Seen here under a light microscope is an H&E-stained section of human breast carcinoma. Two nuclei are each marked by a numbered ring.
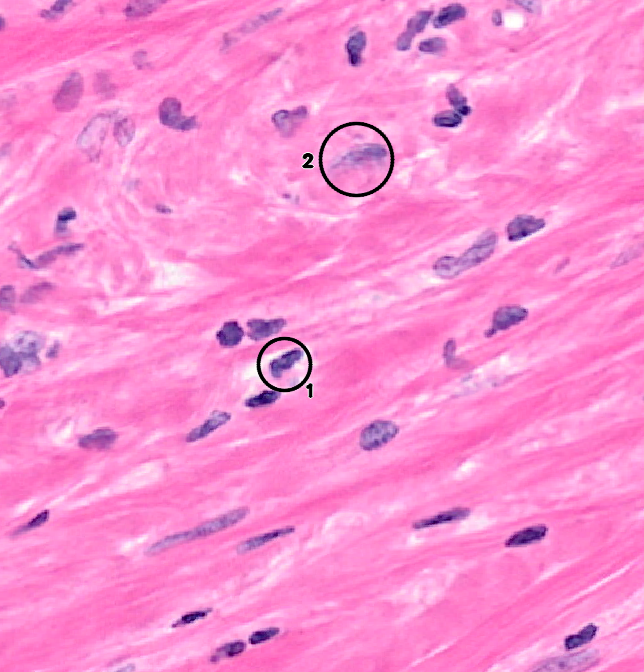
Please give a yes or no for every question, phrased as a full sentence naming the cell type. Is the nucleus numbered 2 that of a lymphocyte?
No, instead of a lymphocyte, the cell with number 2 is a fibroblast.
